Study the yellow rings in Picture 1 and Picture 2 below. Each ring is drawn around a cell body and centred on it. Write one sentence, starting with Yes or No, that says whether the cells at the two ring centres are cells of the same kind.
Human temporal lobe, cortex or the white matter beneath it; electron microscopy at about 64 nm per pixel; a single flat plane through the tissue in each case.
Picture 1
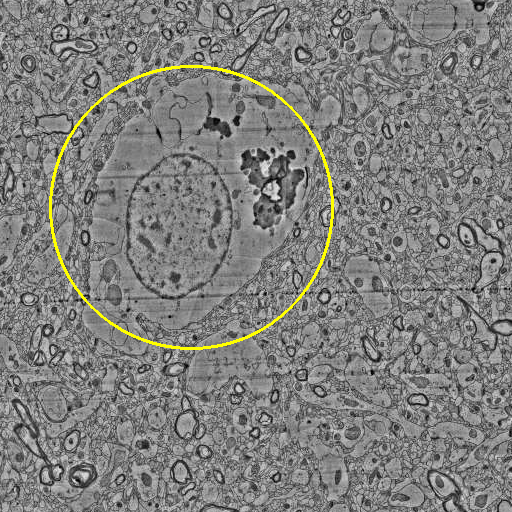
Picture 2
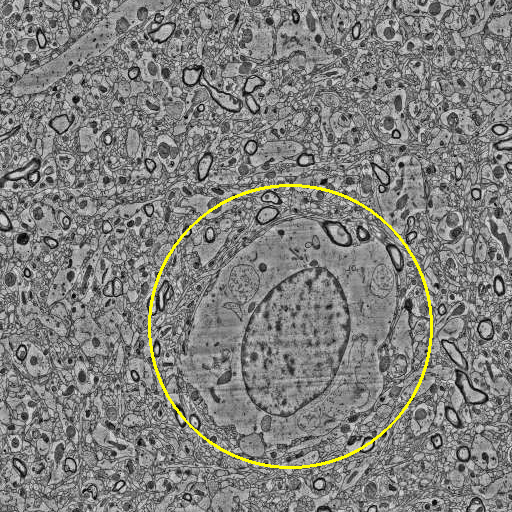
Yes, the cells at both ring centres are of the same kind.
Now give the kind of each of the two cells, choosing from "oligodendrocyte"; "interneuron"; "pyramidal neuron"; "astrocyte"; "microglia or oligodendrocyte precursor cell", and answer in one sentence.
The second cell is an astrocyte, just as the first is.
